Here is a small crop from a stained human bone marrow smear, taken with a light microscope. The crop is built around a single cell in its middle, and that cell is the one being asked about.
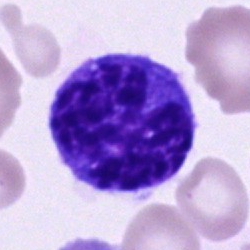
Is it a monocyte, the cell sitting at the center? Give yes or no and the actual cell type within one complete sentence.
Yes, the cell shown in the middle is a monocyte.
